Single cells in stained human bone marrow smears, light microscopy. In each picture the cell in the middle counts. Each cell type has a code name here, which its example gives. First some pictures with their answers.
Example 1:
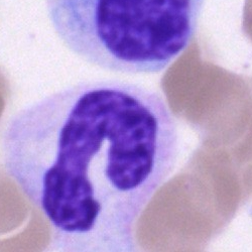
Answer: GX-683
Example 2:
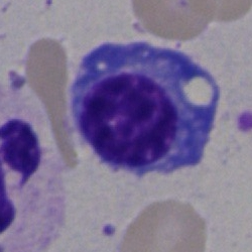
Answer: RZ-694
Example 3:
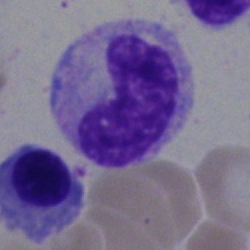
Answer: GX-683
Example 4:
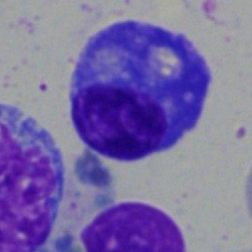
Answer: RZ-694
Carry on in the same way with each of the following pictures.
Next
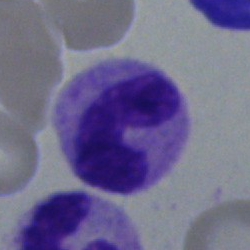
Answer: GX-683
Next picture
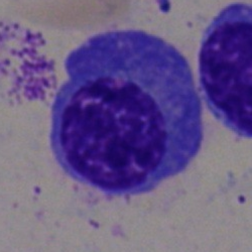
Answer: RZ-694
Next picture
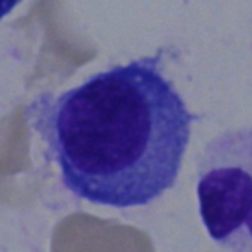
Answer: RZ-694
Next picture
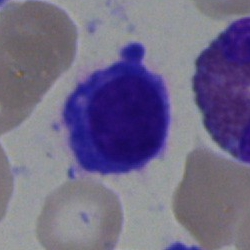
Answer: RZ-694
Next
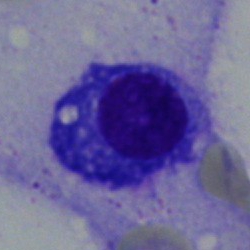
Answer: RZ-694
